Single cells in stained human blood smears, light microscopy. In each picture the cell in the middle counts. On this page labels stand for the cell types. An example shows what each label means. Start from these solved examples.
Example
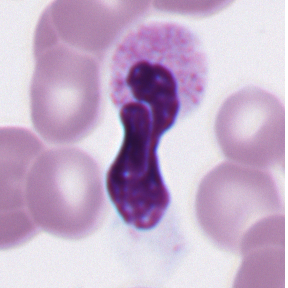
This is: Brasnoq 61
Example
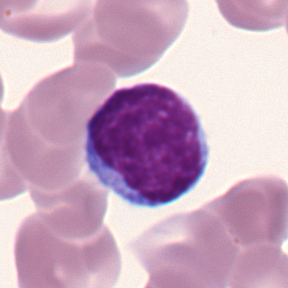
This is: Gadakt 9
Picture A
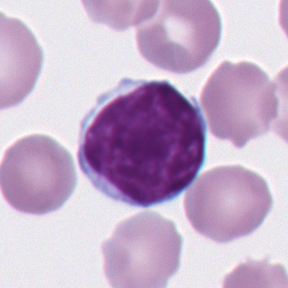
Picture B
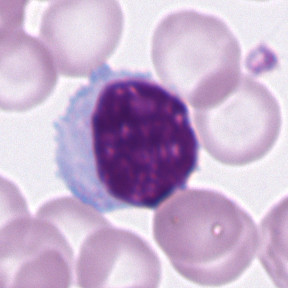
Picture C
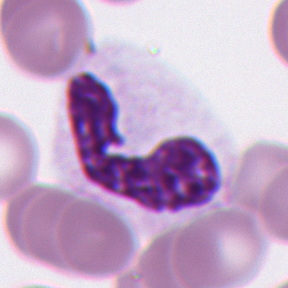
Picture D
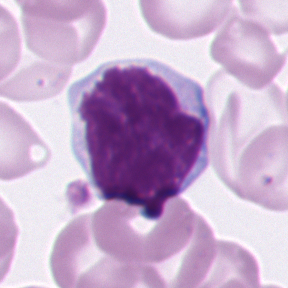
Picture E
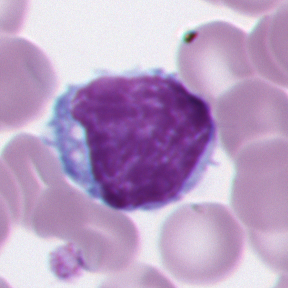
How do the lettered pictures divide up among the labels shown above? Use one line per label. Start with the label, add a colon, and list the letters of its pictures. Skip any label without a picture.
Brasnoq 61: C
Gadakt 9: A, B, D, E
